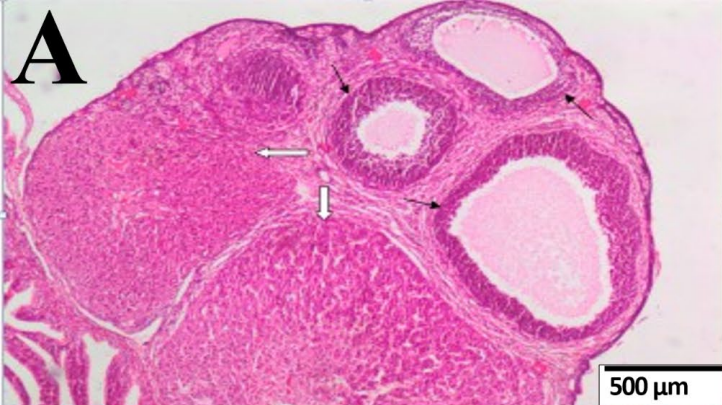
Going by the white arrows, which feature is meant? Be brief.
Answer: Corpora lutea.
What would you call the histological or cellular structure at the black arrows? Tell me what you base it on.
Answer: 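Rings of densely packed, dark-staining granulosa cells several layers thick. Each ring surrounds a large pale pink fluid-filled cavity. Concentric layers of flattened stromal cells wrap around the rings.
Answer: antral follicles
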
